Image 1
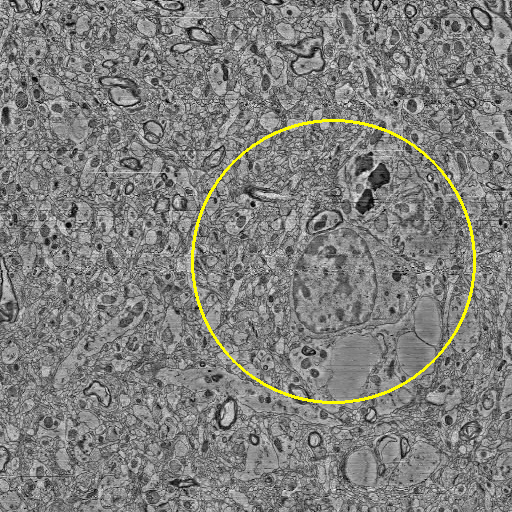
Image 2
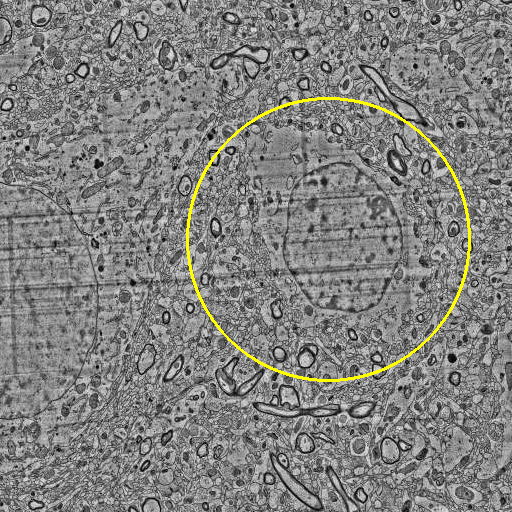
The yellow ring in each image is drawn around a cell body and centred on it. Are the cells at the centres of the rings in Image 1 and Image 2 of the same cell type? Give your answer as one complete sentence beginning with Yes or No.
No, the two cells are of two separate types.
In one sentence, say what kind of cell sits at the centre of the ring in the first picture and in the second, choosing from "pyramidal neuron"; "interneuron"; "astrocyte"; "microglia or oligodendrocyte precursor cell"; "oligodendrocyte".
The first picture's ringed cell is an oligodendrocyte, while the second picture's is an astrocyte.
